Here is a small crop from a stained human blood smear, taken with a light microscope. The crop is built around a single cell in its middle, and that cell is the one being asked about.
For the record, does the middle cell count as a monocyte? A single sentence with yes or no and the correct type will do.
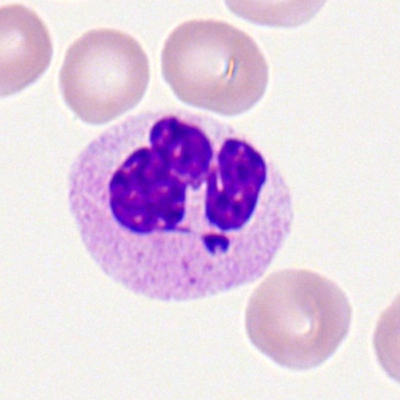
No, not a monocyte here; the centered cell is a segmented neutrophil.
